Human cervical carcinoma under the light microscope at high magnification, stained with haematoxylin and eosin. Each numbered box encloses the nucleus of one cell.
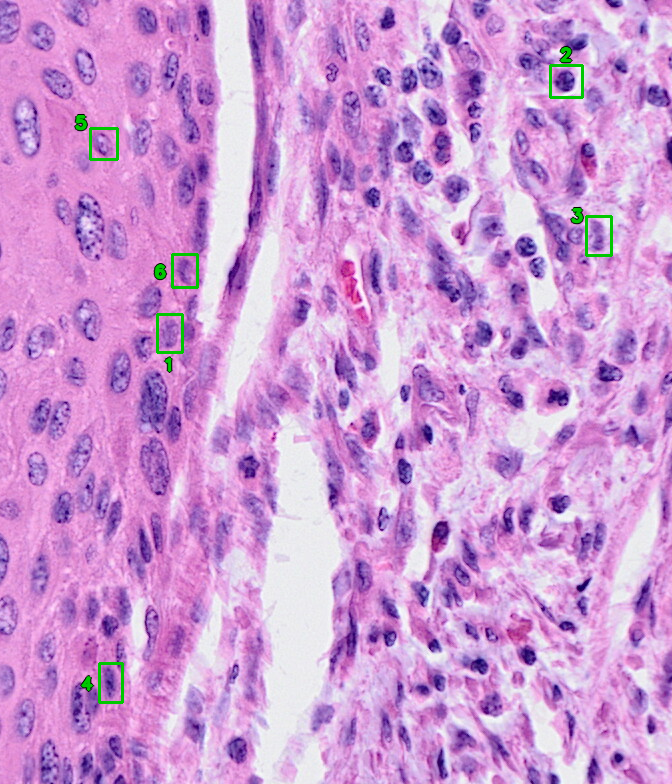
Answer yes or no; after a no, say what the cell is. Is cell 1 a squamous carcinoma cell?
Yes.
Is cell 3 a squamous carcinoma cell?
No, it is a fibroblast.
